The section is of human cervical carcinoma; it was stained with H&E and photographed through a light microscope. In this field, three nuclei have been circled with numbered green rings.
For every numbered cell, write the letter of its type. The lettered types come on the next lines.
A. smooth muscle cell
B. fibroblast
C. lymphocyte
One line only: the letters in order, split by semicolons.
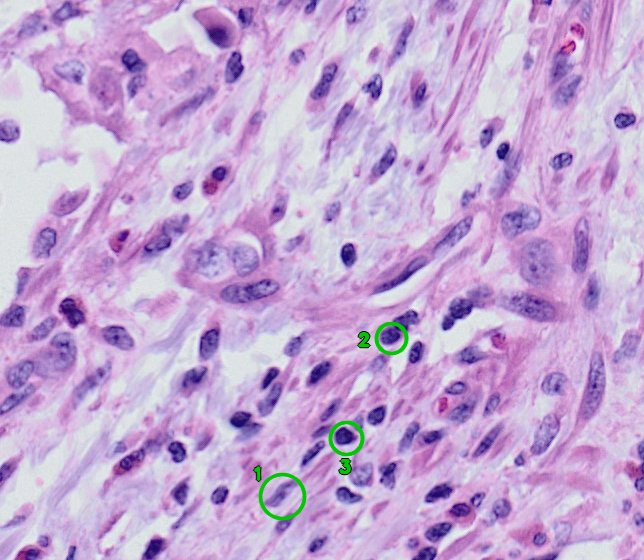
B; C; C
